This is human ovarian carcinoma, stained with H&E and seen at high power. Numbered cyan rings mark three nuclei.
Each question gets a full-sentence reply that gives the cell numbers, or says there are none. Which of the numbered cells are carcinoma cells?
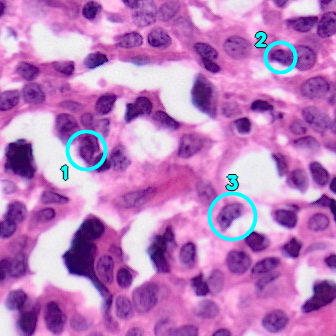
When it comes to cells 1 and 2, they are carcinoma cells.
